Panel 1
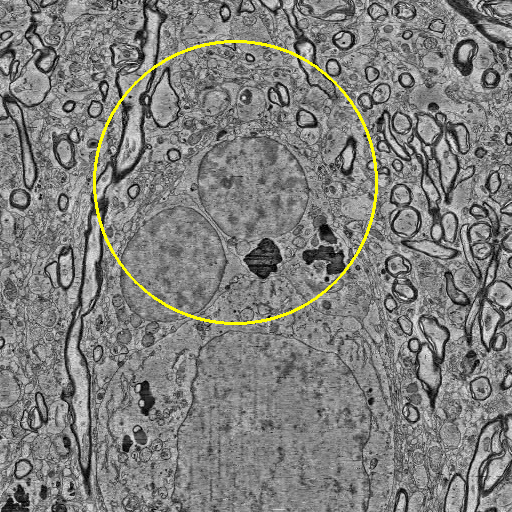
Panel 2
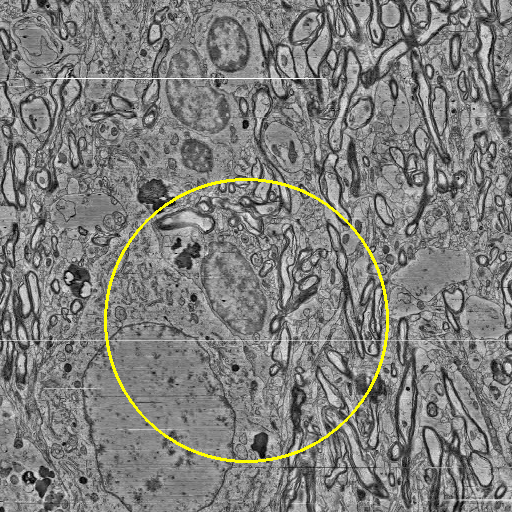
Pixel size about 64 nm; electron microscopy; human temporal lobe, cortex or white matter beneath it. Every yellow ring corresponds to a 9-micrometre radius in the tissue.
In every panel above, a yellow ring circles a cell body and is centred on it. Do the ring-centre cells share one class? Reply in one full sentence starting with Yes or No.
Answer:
Yes, the two cells at the ring centres in the panels belong to one class.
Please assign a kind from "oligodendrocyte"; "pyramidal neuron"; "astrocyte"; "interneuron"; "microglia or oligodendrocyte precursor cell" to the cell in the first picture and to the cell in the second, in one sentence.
Both pictures show an oligodendrocyte at the centre of the ring.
